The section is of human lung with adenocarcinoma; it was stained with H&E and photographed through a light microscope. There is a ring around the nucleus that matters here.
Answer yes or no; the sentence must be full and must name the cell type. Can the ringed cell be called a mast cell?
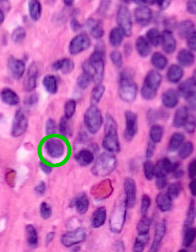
No, the ringed cell is to be identified as a lymphocyte, not a mast cell.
